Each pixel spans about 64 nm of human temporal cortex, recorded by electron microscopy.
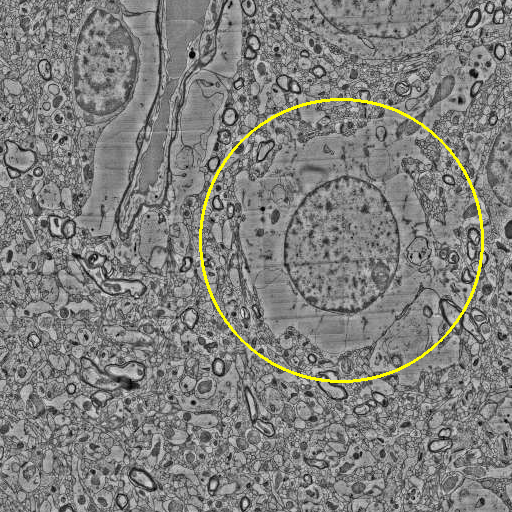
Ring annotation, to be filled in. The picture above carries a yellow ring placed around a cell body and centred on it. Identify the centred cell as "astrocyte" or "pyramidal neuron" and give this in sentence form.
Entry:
The cell in the middle of the ring is an astrocyte.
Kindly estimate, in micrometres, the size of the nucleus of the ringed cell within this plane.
The nucleus comes to roughly 9 by 8 micrometres in this plane.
